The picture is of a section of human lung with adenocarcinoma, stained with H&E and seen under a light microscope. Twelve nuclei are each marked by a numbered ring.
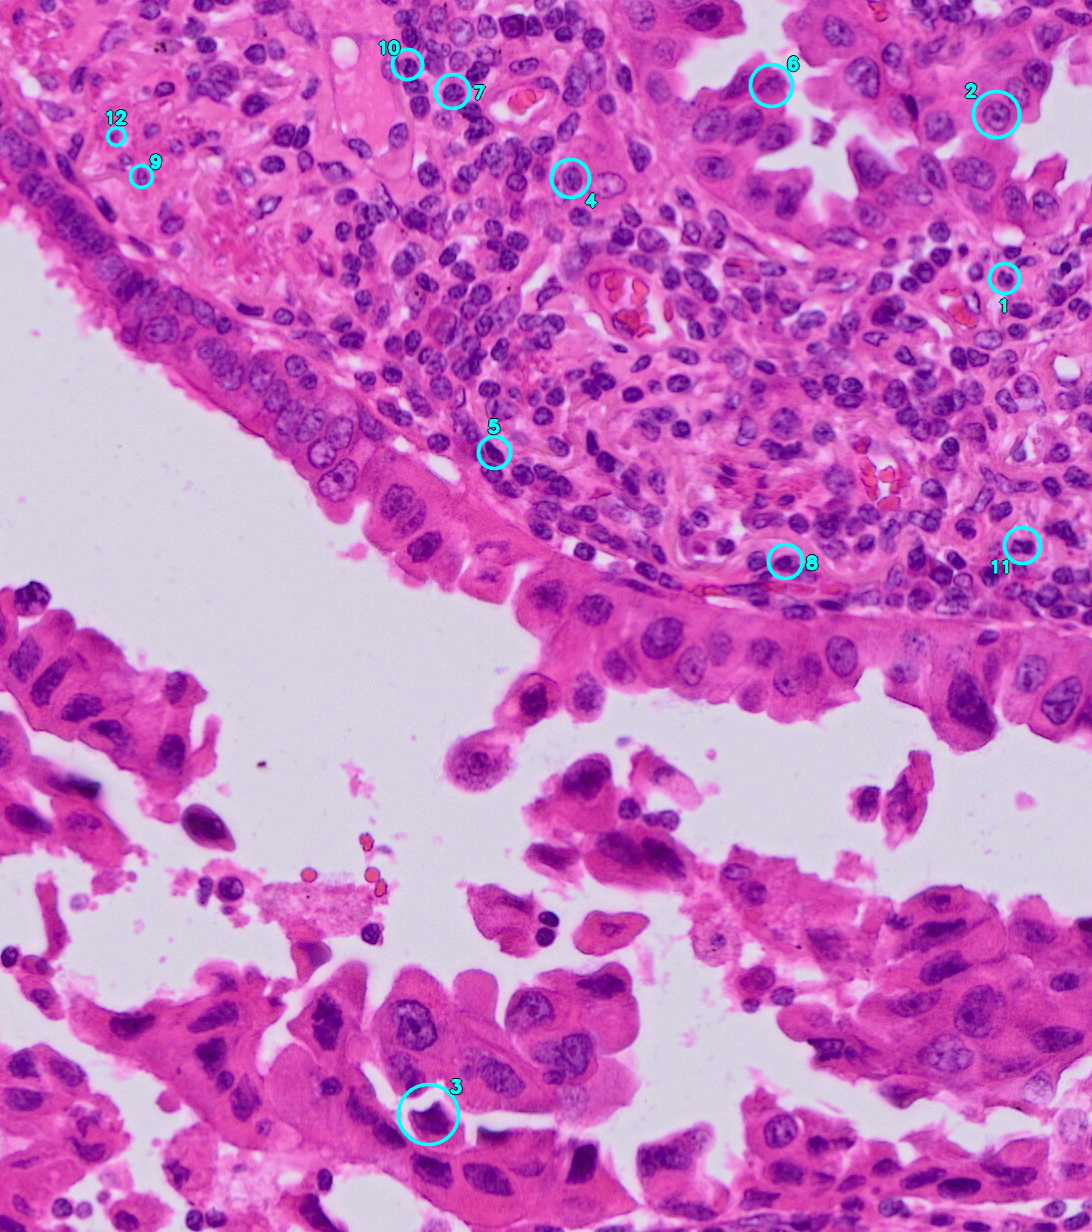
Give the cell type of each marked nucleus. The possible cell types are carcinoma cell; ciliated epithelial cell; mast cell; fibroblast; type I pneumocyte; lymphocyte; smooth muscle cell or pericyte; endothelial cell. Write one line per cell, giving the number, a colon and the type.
1: lymphocyte
2: carcinoma cell
3: carcinoma cell
4: lymphocyte
5: lymphocyte
6: carcinoma cell
7: lymphocyte
8: lymphocyte
9: smooth muscle cell or pericyte
10: lymphocyte
11: lymphocyte
12: smooth muscle cell or pericyte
